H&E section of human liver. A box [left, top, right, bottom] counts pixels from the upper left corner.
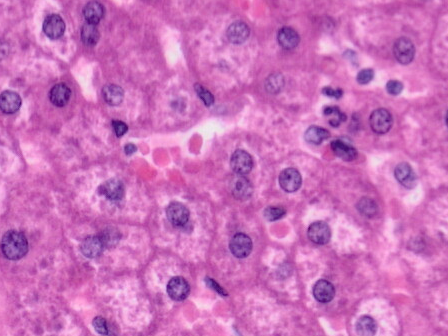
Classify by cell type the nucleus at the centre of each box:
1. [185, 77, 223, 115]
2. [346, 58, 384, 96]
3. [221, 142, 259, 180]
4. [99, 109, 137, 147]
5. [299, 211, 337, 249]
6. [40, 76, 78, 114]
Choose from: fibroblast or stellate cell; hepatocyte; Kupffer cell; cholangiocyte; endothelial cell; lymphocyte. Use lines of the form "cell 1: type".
cell 1: fibroblast or stellate cell
cell 2: lymphocyte
cell 3: hepatocyte
cell 4: fibroblast or stellate cell
cell 5: hepatocyte
cell 6: hepatocyte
